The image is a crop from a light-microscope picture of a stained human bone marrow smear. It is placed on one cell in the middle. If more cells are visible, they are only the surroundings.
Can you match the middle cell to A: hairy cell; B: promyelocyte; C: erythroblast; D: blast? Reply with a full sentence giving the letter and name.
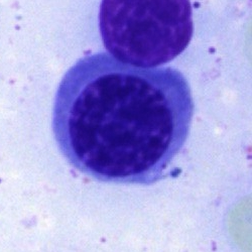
The cell positioned centrally is an erythroblast, as given in option C, which is correct.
